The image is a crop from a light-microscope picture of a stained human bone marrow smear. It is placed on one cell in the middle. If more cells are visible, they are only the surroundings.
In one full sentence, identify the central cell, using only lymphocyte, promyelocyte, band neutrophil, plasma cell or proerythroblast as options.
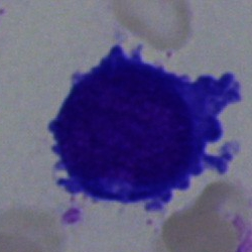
Classified as a proerythroblast is the cell in the middle of this crop.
